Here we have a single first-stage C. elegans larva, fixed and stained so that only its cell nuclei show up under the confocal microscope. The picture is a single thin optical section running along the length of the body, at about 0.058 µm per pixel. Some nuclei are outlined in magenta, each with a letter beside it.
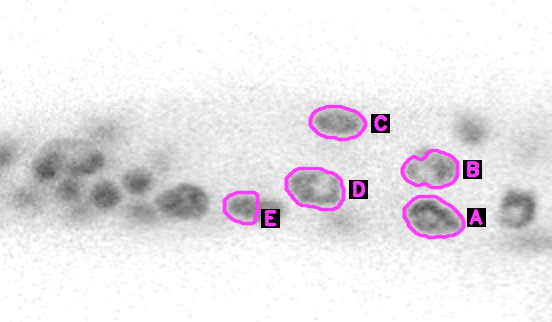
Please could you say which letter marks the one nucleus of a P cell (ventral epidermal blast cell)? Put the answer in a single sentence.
Of the marked nuclei, A is the one in a P cell (ventral epidermal blast cell).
